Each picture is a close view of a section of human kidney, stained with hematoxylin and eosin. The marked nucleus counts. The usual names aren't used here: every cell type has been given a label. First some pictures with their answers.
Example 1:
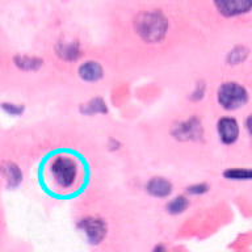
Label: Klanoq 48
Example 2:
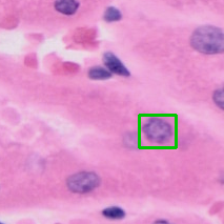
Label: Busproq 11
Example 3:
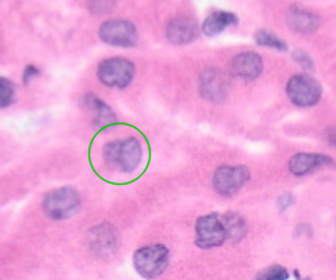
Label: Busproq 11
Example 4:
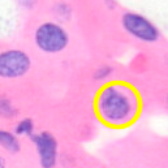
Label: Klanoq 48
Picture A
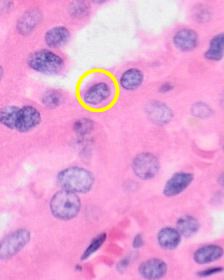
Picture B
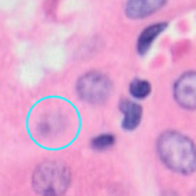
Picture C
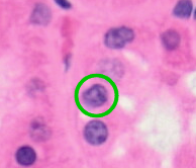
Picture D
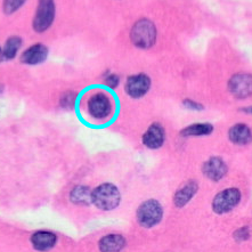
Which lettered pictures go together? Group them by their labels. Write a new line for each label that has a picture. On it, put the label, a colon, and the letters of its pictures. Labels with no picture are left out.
Klanoq 48: A, D
Busproq 11: B, C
